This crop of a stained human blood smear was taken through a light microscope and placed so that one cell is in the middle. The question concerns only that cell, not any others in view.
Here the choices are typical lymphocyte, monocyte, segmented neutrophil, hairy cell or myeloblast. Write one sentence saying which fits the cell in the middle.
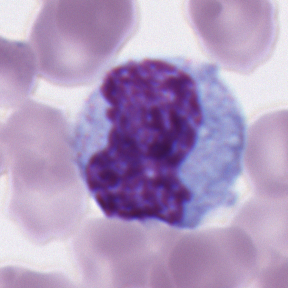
The centrally positioned cell in the crop represents a monocyte.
